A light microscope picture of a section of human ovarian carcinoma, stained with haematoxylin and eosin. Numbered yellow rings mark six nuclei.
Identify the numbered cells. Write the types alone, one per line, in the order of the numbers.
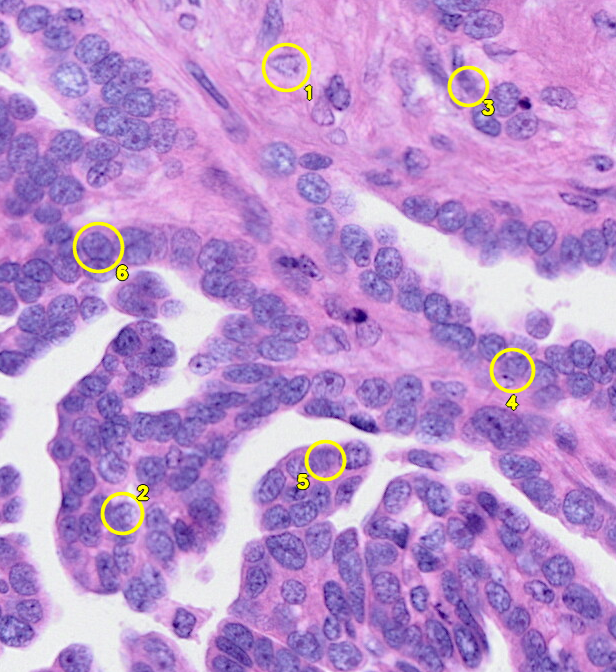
fibroblast
carcinoma cell
fibroblast
carcinoma cell
carcinoma cell
carcinoma cell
